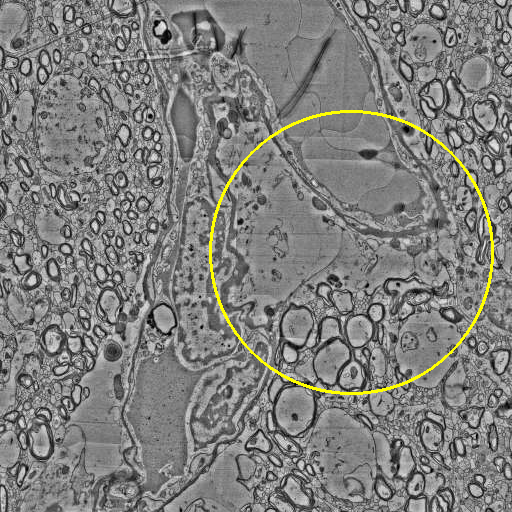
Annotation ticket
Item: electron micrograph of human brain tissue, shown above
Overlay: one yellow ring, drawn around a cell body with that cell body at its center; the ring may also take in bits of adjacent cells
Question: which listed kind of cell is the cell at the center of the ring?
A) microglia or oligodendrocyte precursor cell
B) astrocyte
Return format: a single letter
A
